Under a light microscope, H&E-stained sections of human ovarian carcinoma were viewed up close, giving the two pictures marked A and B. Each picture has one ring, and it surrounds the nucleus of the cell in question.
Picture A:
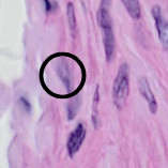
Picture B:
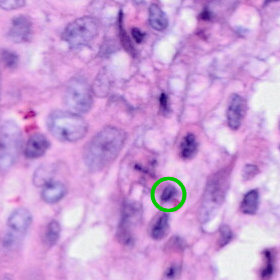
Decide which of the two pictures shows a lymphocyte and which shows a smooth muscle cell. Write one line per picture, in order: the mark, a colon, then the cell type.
A: smooth muscle cell
B: lymphocyte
